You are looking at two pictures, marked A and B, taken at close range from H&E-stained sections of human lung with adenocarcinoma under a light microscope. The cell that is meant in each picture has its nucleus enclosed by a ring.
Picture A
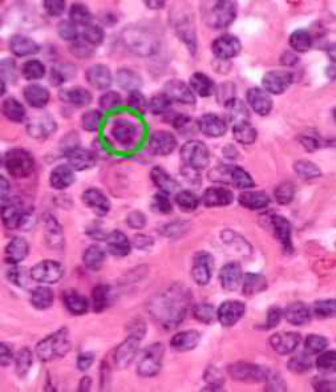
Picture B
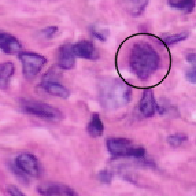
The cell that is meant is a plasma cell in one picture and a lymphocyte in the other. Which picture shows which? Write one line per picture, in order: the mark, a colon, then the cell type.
A: lymphocyte
B: plasma cell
